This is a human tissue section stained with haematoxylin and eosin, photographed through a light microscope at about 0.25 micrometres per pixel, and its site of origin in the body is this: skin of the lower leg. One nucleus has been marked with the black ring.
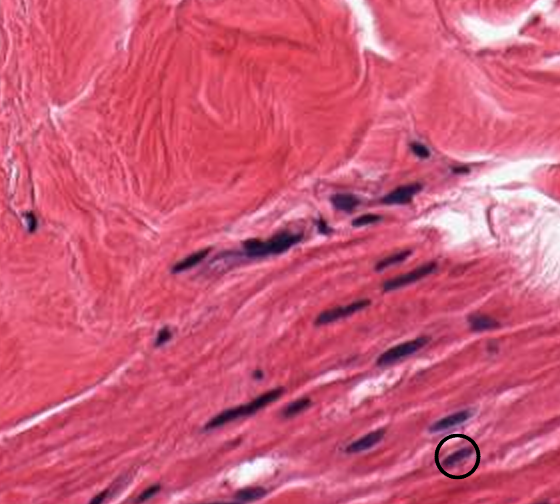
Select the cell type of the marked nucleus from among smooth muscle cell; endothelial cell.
smooth muscle cell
